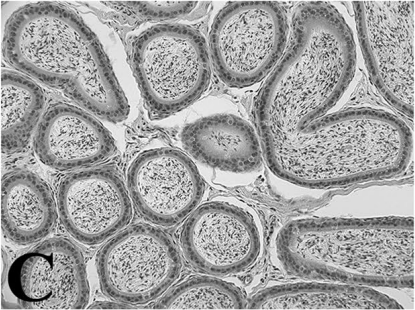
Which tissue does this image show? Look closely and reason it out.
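Epididymides. Many cross-cut ducts lined by a regular epithelium. Duct lumens are packed with slender sperm heads and tails. Ducts are surrounded by thin connective tissue.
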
